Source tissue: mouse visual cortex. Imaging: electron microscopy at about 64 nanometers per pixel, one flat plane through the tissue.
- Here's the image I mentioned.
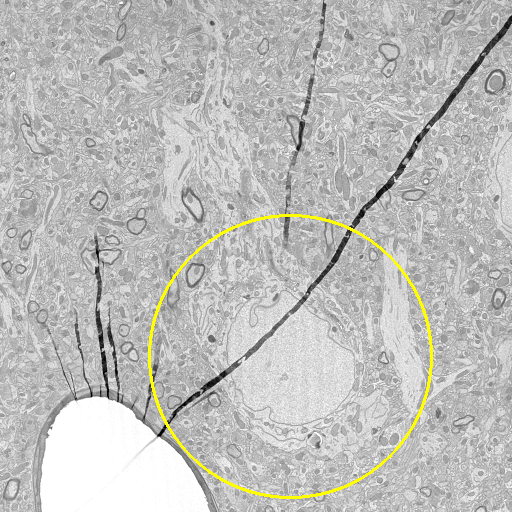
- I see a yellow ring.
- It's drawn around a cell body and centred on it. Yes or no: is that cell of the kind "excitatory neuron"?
no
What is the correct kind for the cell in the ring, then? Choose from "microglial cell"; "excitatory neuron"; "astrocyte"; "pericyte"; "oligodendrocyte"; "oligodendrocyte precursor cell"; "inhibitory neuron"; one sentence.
As it turns out, the cell at the ring centre is an inhibitory neuron.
